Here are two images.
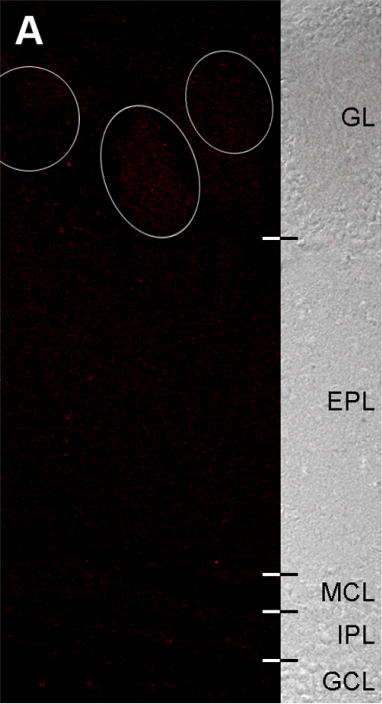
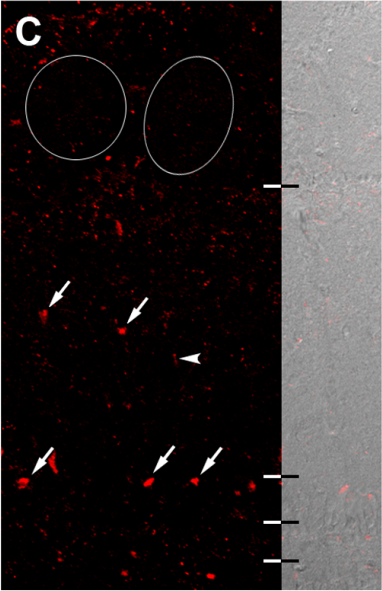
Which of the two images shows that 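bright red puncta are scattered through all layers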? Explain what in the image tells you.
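Second image: many red dots over the whole depth, with larger bright ones in a row near the lower layer boundary.
Conclusion: the second image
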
